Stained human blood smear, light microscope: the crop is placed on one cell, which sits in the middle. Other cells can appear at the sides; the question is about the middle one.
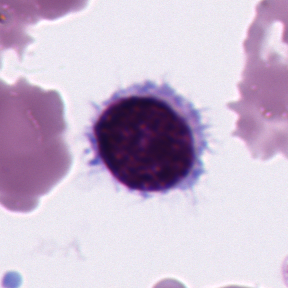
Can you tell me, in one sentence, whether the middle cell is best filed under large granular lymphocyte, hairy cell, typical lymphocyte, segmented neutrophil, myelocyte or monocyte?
The cell positioned in the middle of the field is a hairy cell.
